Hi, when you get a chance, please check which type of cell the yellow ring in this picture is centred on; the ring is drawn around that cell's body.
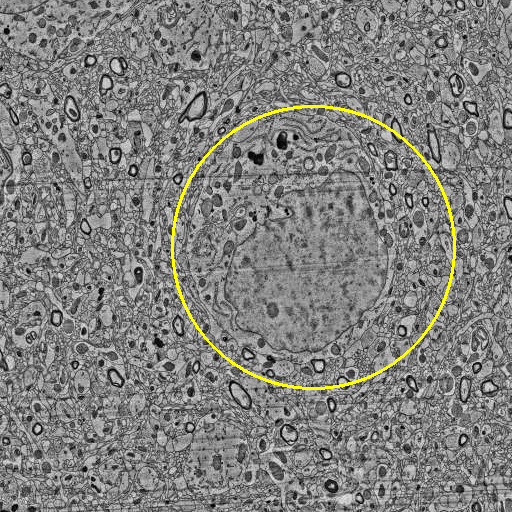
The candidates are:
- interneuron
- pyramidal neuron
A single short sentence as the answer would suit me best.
The ring is drawn around the body of an interneuron.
